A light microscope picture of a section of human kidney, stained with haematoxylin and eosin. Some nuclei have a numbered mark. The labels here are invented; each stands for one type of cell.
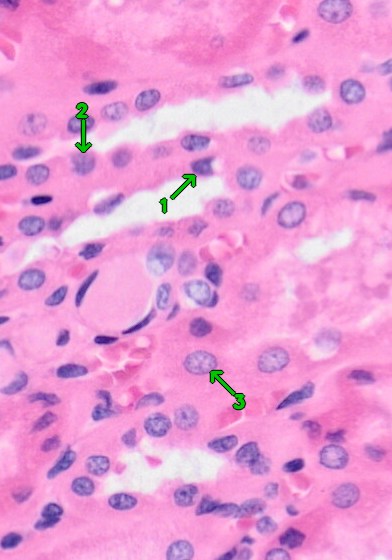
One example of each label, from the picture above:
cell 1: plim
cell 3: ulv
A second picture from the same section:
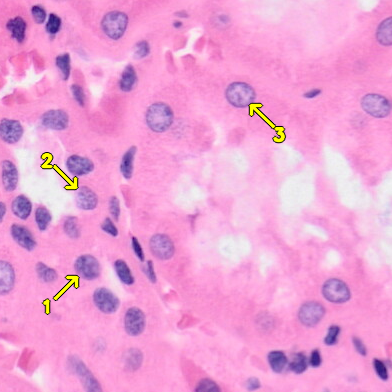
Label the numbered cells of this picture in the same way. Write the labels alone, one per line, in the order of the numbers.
plim
plim
ulv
